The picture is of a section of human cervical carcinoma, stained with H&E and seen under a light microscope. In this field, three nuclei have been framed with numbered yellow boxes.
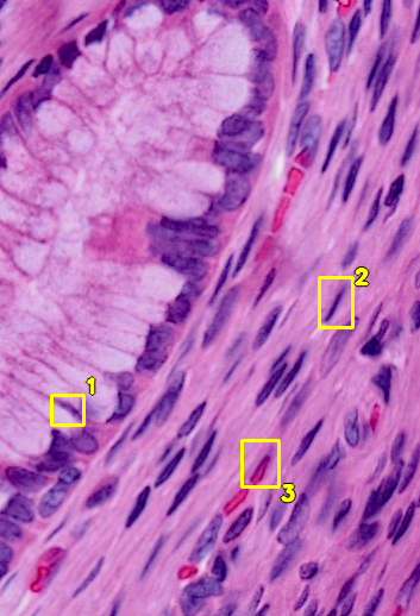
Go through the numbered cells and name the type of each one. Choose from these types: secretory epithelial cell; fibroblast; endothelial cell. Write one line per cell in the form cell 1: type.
cell 1: secretory epithelial cell
cell 2: fibroblast
cell 3: endothelial cell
